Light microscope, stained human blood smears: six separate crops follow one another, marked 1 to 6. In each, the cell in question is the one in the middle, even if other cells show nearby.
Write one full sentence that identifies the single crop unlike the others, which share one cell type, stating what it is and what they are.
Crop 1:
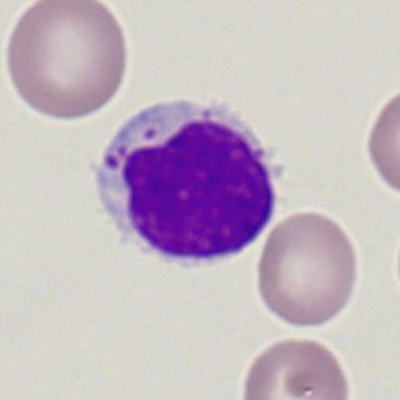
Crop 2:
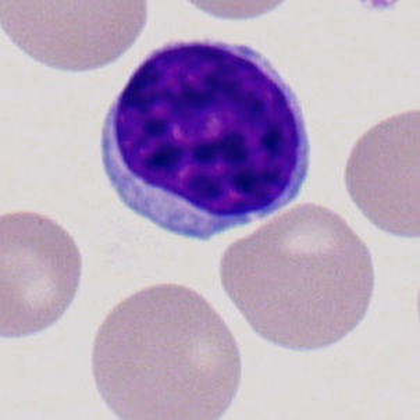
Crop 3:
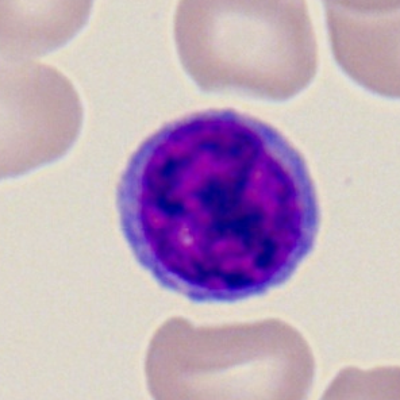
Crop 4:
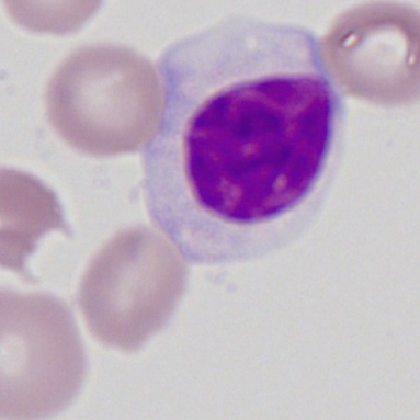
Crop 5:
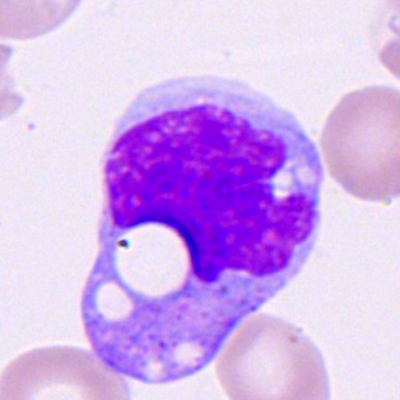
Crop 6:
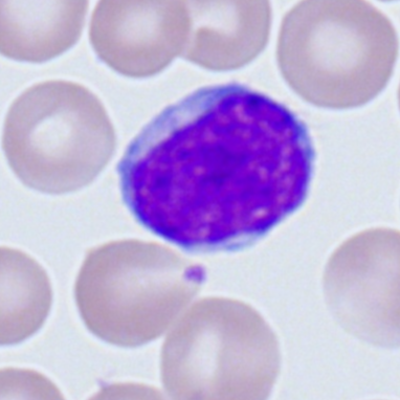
Only one crop differs, namely crop 5, which is a monocyte; the others show lymphocytes.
